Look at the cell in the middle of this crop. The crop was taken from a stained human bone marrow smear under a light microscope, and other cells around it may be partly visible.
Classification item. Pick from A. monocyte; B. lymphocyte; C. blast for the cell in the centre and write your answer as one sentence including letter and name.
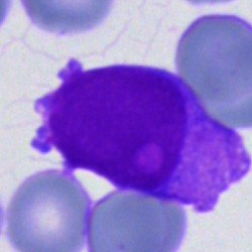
Here the central cell is a blast, and option C is correct.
